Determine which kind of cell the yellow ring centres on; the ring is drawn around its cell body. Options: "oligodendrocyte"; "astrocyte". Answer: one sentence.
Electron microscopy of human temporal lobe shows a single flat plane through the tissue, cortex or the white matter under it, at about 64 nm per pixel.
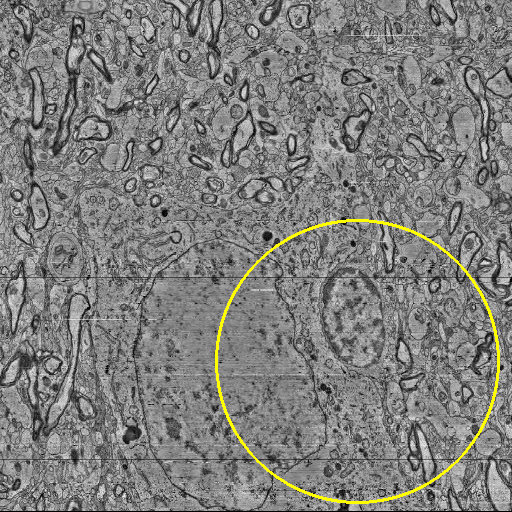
The ring centres on an oligodendrocyte.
